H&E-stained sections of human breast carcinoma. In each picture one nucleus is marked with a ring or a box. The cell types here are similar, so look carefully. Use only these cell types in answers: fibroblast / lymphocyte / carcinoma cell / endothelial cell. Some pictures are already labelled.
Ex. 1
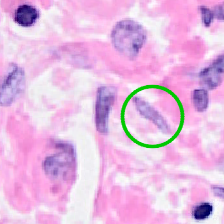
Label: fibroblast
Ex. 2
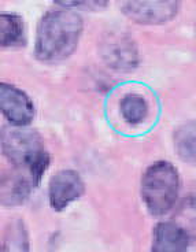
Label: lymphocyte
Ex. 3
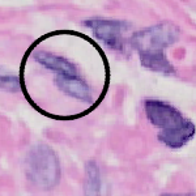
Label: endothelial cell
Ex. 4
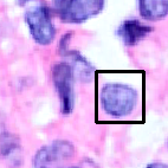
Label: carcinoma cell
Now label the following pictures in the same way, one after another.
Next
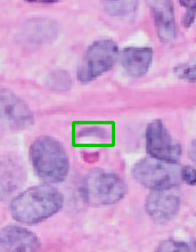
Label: endothelial cell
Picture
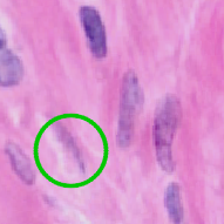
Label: fibroblast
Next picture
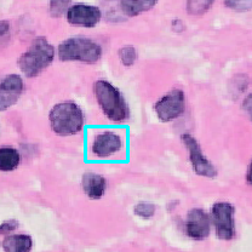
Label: lymphocyte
